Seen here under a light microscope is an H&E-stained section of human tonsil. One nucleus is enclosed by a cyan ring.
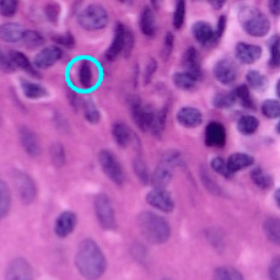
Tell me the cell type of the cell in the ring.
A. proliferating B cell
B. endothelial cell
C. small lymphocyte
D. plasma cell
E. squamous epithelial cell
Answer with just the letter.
E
